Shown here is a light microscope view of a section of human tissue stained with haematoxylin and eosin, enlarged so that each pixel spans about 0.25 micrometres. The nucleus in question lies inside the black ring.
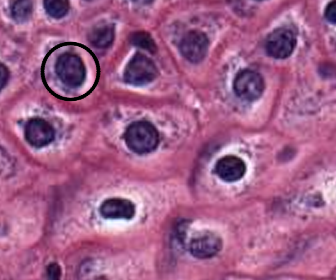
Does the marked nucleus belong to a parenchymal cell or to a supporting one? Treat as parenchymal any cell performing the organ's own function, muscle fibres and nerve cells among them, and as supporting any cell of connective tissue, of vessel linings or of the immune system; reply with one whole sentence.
The marked nucleus is assigned to a parenchymal cell, namely a squamous epithelial cell.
